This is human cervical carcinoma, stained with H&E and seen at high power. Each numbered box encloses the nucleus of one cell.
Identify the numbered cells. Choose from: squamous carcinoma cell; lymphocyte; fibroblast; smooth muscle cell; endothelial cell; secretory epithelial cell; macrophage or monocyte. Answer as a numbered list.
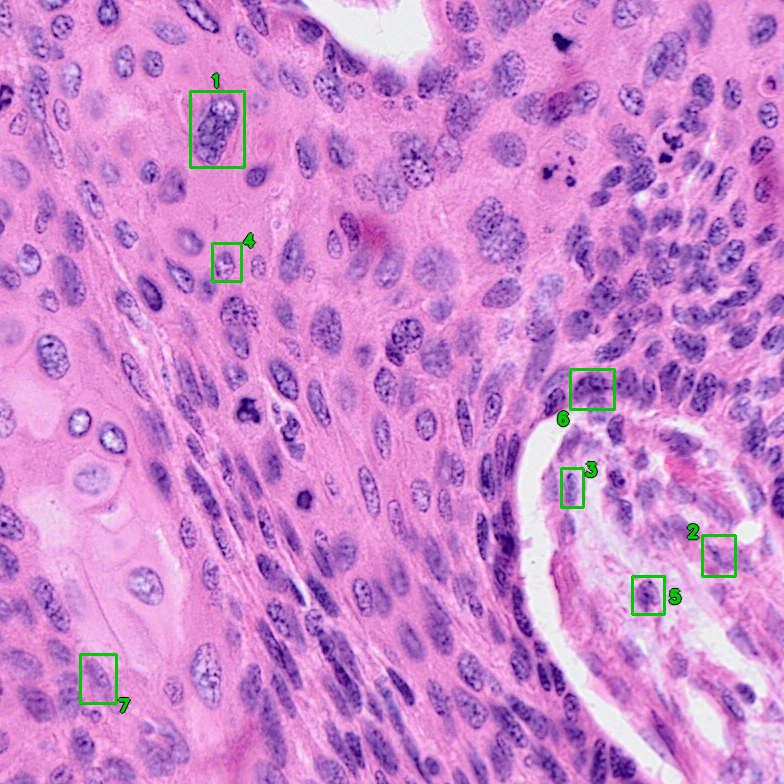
1. squamous carcinoma cell
2. fibroblast
3. fibroblast
4. squamous carcinoma cell
5. macrophage or monocyte
6. squamous carcinoma cell
7. squamous carcinoma cell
